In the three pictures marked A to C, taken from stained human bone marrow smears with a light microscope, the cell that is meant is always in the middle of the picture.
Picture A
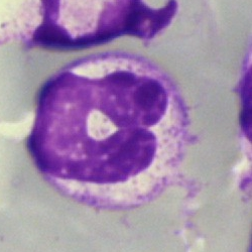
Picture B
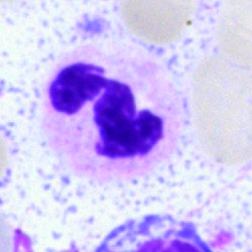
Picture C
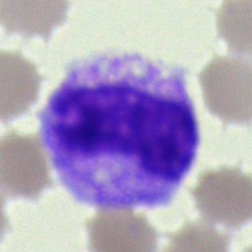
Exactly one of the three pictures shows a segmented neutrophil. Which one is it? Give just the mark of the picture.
B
